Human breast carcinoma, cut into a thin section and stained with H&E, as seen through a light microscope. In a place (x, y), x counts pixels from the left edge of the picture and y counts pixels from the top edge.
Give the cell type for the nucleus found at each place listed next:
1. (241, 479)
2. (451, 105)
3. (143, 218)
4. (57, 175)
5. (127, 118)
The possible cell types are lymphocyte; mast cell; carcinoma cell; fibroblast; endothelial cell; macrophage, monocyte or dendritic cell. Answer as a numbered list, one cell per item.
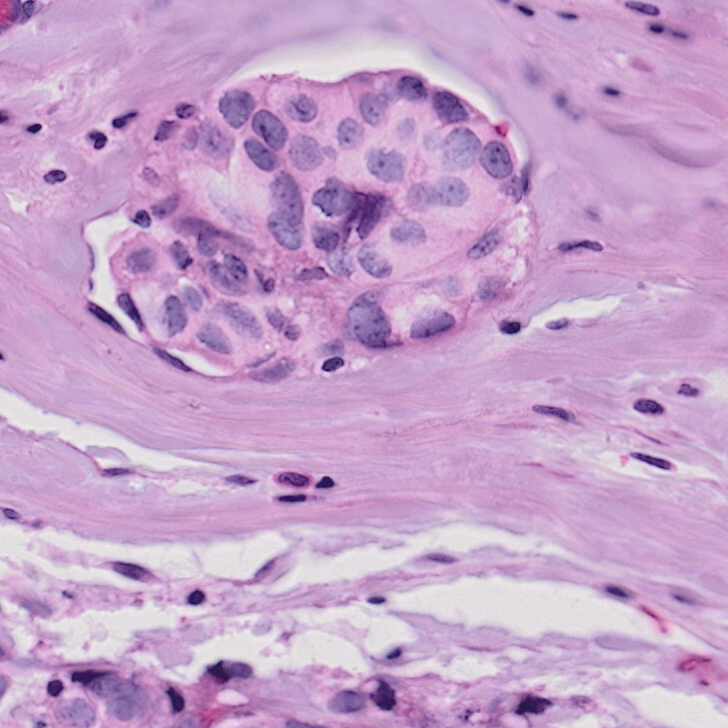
1. fibroblast
2. carcinoma cell
3. lymphocyte
4. lymphocyte
5. lymphocyte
